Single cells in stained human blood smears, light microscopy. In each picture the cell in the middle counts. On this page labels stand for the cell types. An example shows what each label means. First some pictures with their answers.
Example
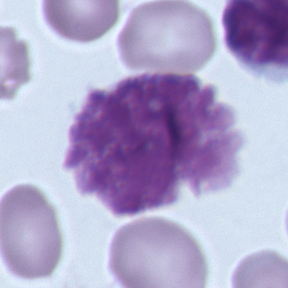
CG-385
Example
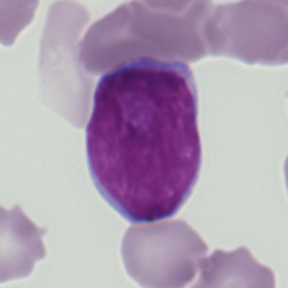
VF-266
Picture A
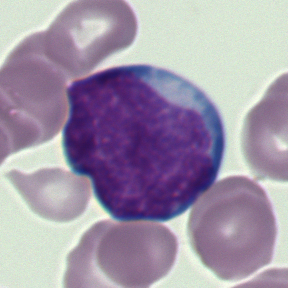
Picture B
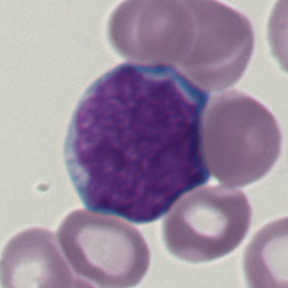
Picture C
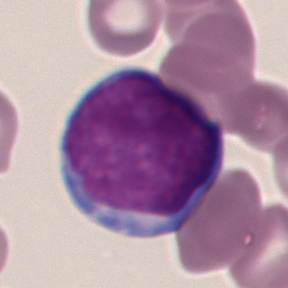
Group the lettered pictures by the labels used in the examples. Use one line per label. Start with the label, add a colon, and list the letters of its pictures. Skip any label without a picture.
VF-266: A, B, C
